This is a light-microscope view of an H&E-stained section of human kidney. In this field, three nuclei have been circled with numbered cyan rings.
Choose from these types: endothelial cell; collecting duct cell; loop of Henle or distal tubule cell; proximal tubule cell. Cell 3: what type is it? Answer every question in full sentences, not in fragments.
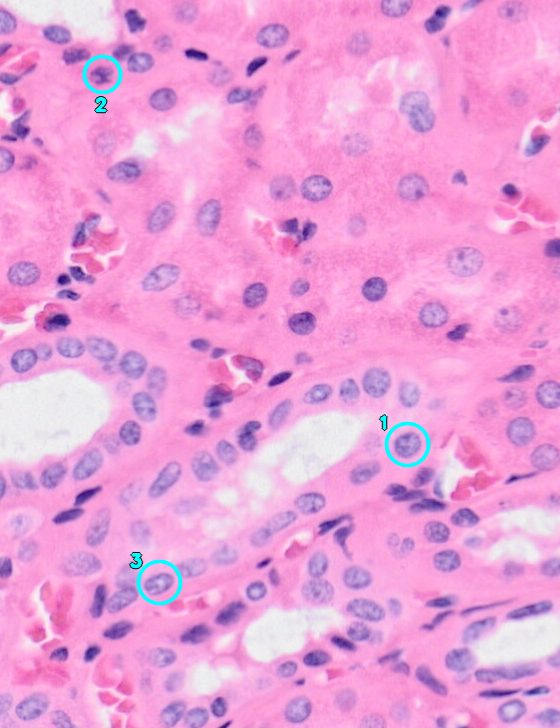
The cell marked with number 3 is a collecting duct cell.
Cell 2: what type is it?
The cell marked with number 2 is a loop of Henle or distal tubule cell.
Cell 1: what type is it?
The cell pointed out as number 1 is a collecting duct cell.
